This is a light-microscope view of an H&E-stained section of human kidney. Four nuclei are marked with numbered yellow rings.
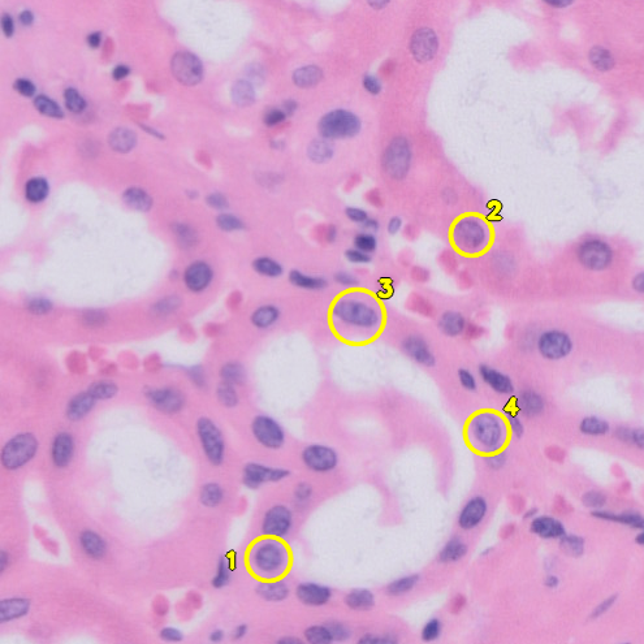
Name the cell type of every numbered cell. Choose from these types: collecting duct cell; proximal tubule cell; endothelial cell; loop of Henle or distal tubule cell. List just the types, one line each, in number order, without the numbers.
collecting duct cell
proximal tubule cell
collecting duct cell
collecting duct cell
